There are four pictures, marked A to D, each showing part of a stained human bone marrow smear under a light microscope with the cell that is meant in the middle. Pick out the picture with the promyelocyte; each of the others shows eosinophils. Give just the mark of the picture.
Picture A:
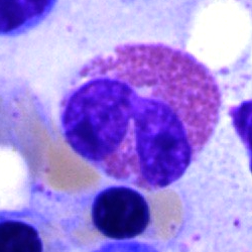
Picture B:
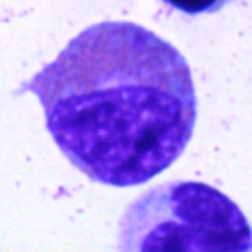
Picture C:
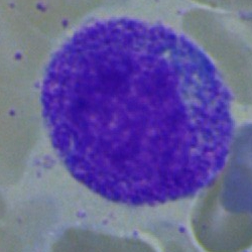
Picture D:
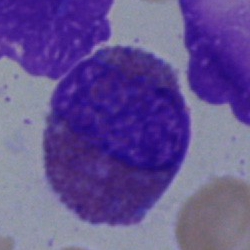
C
